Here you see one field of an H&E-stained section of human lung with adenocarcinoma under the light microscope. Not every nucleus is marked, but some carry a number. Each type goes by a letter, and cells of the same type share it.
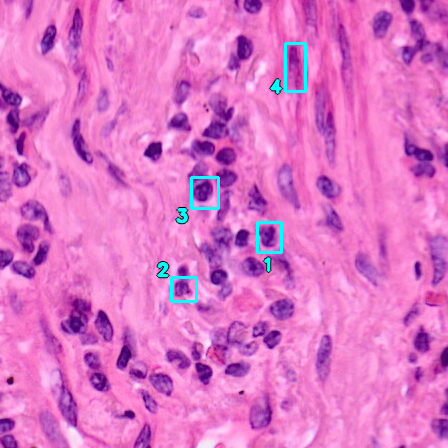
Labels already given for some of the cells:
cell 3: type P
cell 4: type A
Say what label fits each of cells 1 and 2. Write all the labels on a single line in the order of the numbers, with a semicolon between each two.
type P; type P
